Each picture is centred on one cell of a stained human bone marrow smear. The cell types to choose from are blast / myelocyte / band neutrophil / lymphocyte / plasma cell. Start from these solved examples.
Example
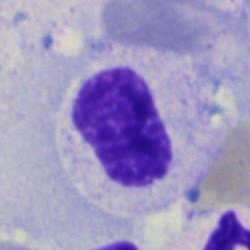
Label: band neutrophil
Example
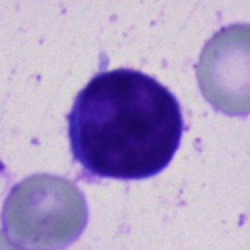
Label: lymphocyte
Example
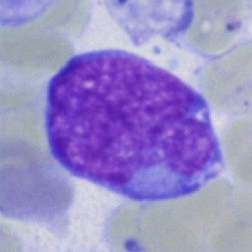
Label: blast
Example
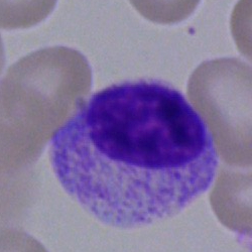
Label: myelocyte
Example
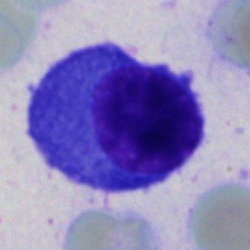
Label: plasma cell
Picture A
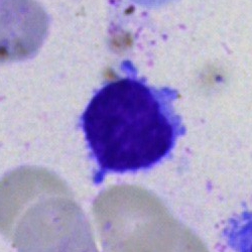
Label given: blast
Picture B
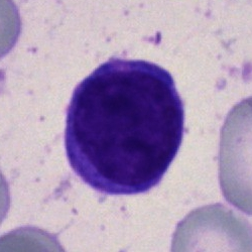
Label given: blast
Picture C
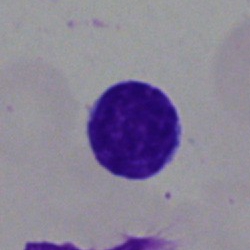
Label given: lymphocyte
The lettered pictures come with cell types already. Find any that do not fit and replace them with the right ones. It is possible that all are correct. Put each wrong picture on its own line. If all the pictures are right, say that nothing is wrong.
A: not blast but lymphocyte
